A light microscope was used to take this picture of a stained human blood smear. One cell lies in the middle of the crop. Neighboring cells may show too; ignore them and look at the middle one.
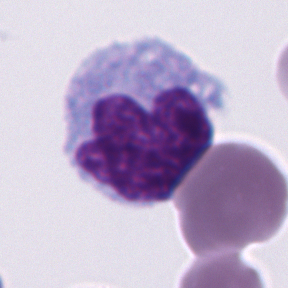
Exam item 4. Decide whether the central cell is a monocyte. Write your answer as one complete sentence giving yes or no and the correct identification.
Yes, that is a monocyte in the middle of the crop.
